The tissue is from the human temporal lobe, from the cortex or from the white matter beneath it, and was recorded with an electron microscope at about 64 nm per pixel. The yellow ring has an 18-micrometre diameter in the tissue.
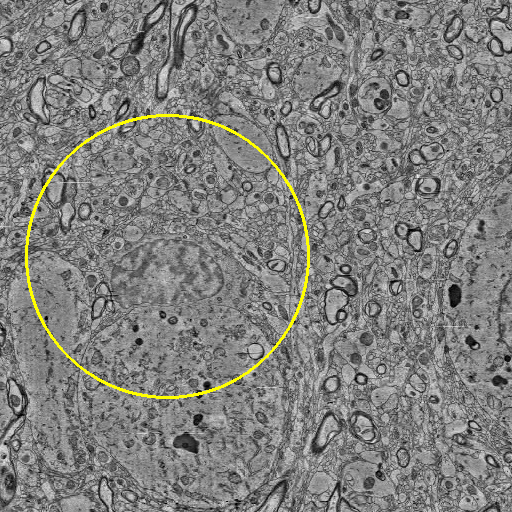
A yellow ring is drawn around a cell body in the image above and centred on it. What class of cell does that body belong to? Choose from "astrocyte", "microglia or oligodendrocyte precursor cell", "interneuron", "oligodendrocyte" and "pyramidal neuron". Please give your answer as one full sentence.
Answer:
The yellow ring above is centred on the cell body of an oligodendrocyte.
